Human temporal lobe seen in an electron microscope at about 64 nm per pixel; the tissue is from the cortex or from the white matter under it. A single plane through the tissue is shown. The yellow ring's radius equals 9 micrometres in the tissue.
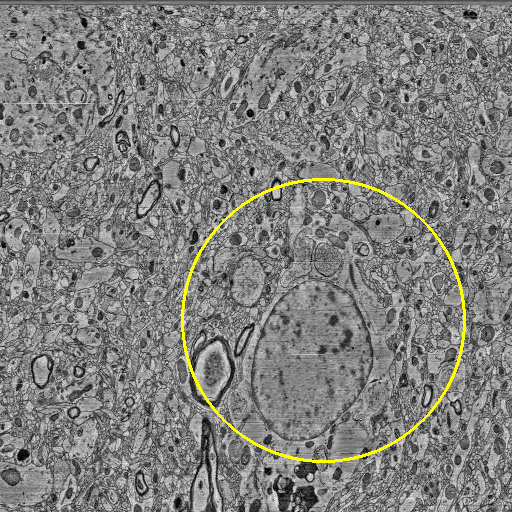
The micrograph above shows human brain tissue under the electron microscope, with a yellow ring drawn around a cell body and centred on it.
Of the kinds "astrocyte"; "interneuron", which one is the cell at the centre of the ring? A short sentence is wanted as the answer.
The one at the centre of the ring is an astrocyte.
